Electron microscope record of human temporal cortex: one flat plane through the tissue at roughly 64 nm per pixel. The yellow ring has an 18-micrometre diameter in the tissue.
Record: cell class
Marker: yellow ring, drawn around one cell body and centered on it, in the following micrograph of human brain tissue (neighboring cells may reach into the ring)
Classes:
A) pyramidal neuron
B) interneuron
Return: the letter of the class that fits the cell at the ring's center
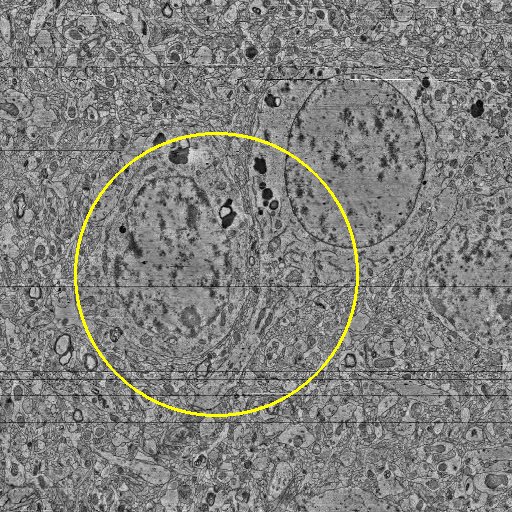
B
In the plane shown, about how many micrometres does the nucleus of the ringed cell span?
About 11 by 8 micrometres in this plane.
